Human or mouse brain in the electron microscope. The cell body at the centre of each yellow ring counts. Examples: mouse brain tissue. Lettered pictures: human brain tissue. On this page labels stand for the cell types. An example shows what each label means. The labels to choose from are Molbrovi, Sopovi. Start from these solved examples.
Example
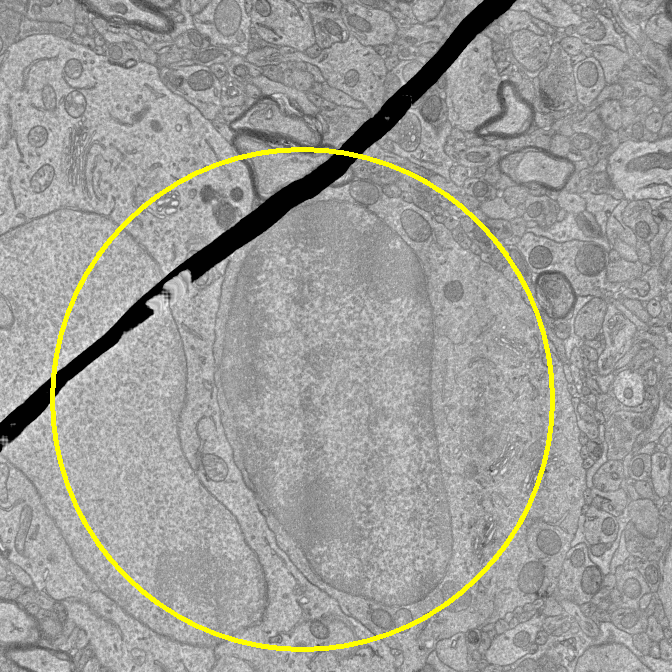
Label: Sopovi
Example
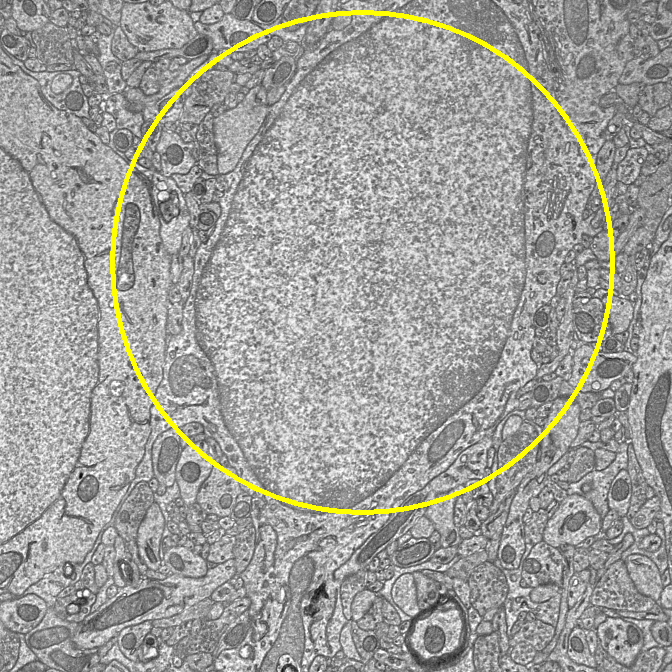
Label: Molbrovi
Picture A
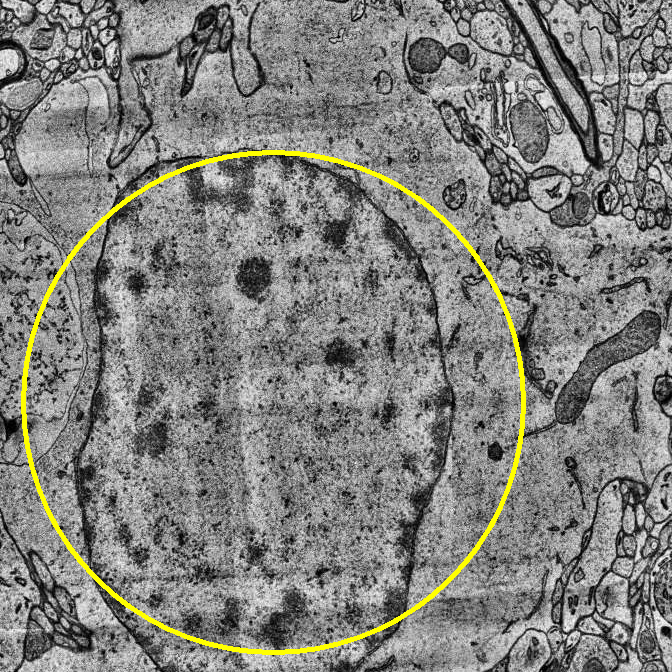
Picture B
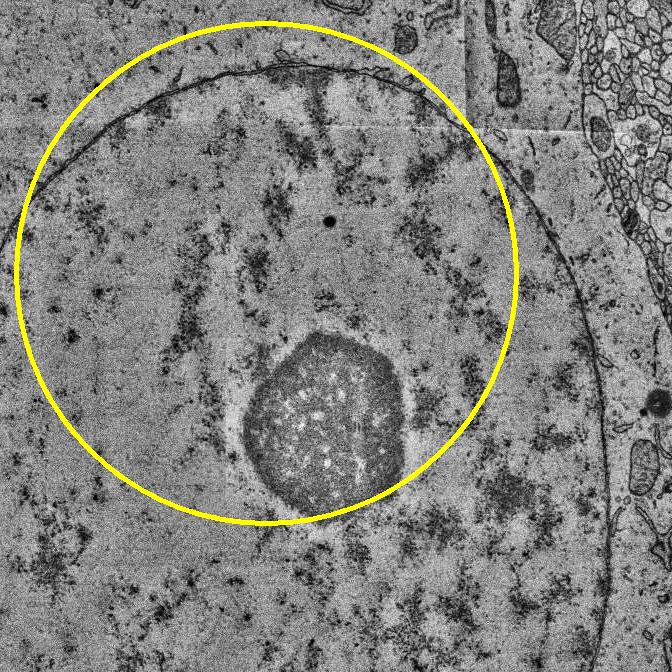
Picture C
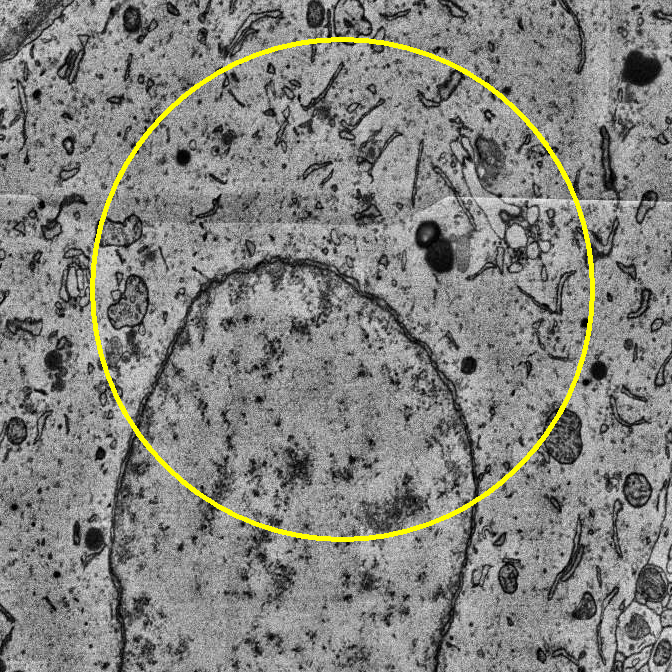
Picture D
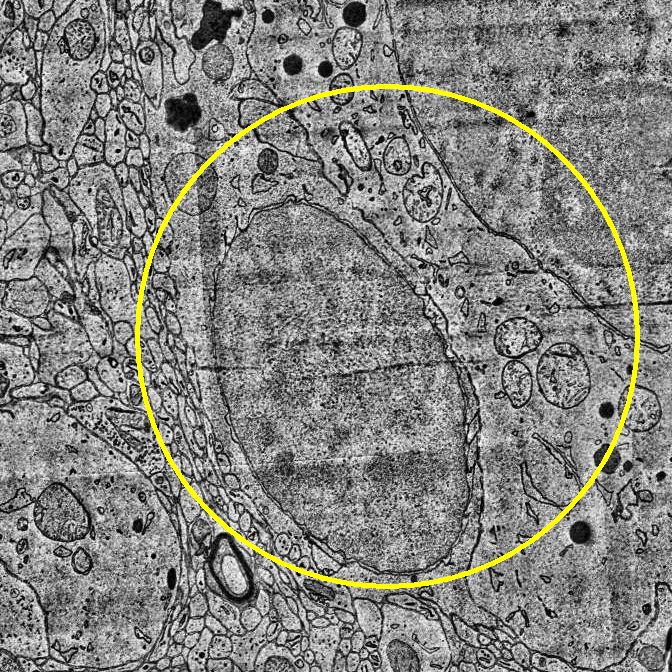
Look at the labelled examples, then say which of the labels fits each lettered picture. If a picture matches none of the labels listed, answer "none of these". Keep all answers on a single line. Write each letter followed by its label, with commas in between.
A Molbrovi, B none of these, C none of these, D Sopovi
